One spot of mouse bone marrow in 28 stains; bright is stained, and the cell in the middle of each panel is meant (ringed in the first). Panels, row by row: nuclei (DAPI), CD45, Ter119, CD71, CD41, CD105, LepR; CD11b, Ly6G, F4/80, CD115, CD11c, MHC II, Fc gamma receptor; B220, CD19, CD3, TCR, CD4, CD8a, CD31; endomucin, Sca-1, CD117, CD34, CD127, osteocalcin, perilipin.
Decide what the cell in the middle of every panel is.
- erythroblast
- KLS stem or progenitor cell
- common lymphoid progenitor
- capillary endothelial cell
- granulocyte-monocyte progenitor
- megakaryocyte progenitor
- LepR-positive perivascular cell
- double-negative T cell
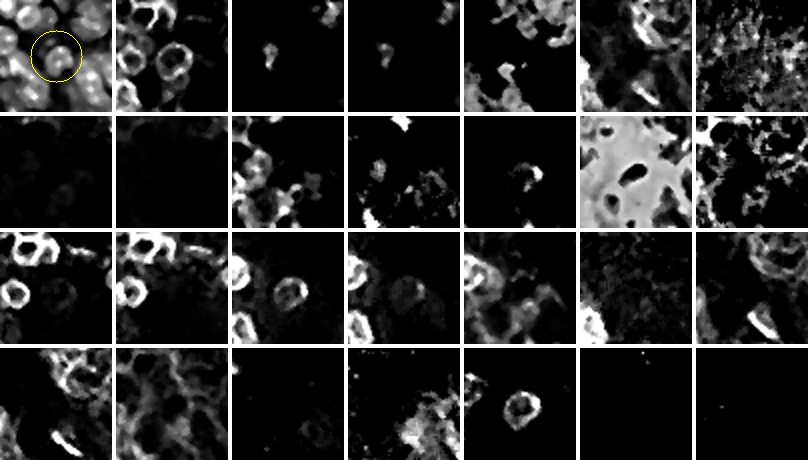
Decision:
common lymphoid progenitor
